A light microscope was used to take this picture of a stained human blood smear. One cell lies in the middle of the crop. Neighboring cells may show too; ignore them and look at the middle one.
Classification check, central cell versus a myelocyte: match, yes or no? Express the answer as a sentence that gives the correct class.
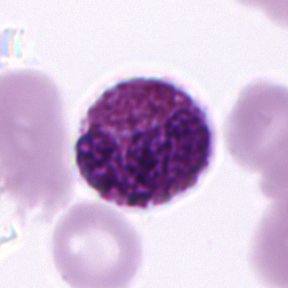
No, the cell in the middle of the crop counts as an eosinophil and not as a myelocyte.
